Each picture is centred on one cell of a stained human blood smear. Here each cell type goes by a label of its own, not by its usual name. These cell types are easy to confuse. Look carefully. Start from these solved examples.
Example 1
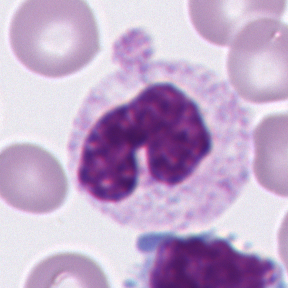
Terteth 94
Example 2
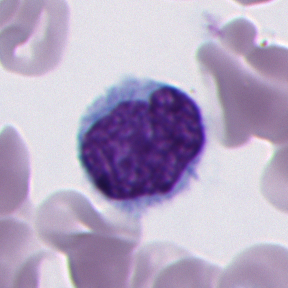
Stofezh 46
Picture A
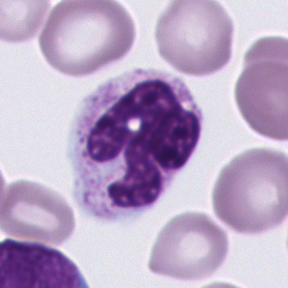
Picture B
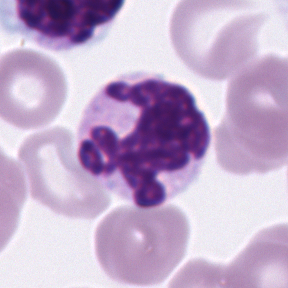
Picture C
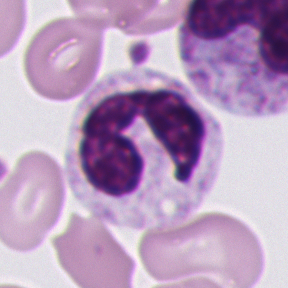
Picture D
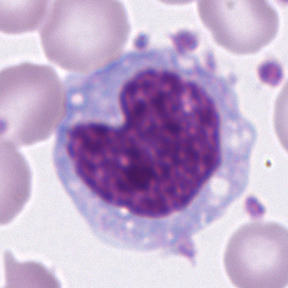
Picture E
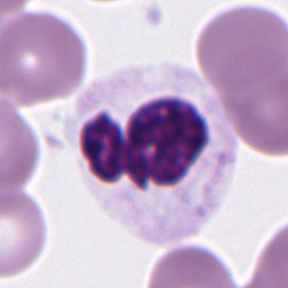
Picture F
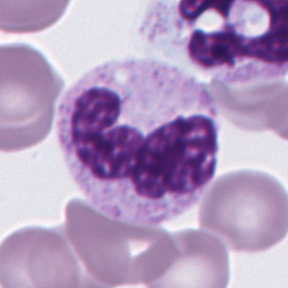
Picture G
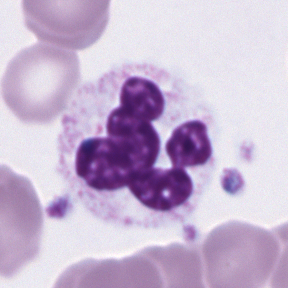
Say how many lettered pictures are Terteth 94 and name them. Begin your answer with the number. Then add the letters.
6, namely A, B, C, E, F, G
